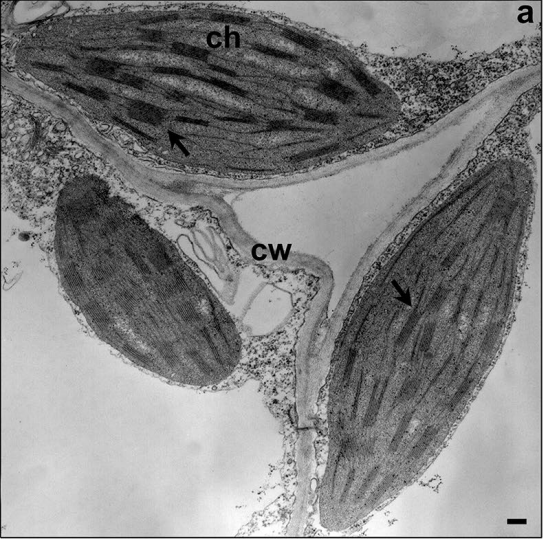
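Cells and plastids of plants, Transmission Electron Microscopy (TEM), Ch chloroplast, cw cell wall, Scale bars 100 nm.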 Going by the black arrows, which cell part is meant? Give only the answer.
grana and inter-grana structures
